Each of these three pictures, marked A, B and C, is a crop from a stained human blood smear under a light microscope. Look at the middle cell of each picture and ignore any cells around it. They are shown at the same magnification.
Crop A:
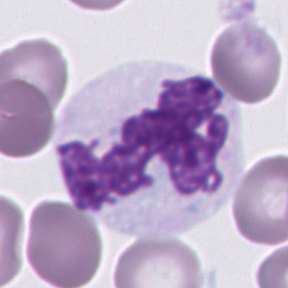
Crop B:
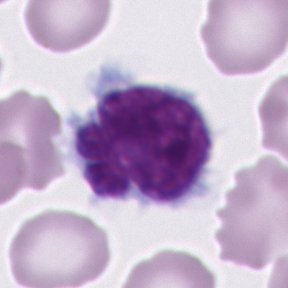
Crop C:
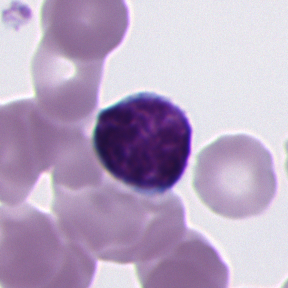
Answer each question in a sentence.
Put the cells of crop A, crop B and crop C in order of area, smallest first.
Going up, they run C, B, A.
